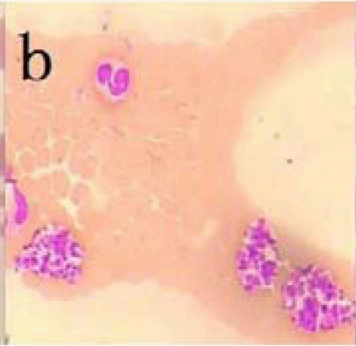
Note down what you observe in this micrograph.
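A blood smear in which platelets have gathered into large clumps. Two or three dense aggregates, each made of many small purple granular bodies pressed together, lie in the lower part of the field. The background is a pale, pinkish-tan, smeared material with a lacy, pale pattern on the left, and red cell outlines are not distinct. Near the top lies a single larger cell with a lobed, purple nucleus and pale cytoplasm.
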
